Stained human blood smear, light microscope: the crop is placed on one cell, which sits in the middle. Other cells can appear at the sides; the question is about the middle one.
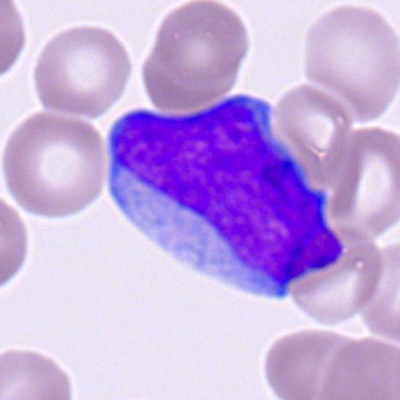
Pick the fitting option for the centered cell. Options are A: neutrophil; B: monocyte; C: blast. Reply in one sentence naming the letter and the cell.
The cell shown centrally is a blast; option C is the correct option.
